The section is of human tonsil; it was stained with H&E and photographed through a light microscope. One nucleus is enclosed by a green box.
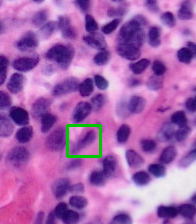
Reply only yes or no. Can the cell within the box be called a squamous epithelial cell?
no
